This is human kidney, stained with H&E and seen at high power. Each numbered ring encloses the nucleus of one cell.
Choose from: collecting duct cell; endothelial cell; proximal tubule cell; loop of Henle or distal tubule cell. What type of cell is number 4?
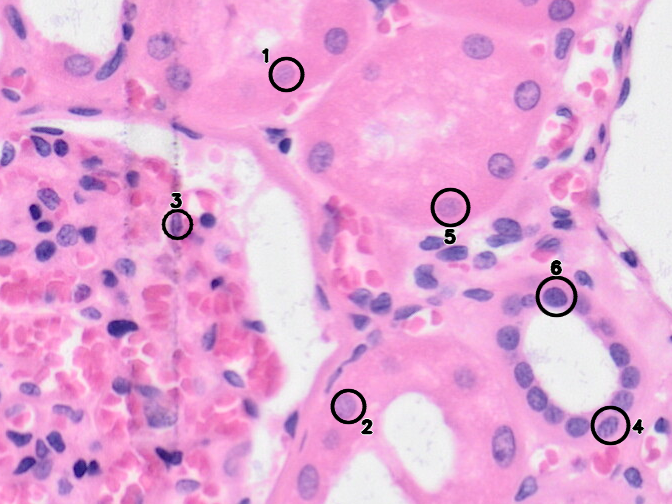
collecting duct cell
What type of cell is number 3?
endothelial cell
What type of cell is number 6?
collecting duct cell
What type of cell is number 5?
proximal tubule cell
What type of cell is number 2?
proximal tubule cell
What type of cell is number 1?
proximal tubule cell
